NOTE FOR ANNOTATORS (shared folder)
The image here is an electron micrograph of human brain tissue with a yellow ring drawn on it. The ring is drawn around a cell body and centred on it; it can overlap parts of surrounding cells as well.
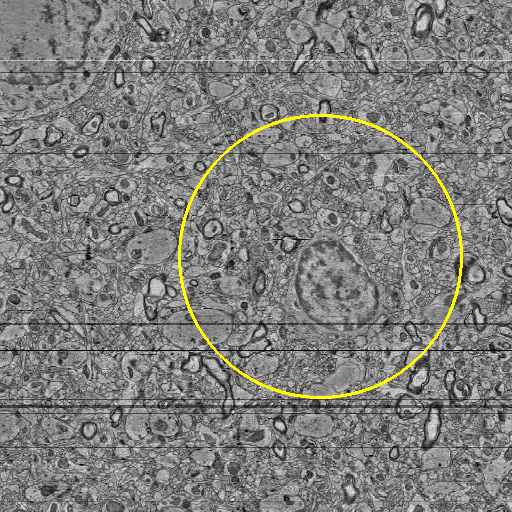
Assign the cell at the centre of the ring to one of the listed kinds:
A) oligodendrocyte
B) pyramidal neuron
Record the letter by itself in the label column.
A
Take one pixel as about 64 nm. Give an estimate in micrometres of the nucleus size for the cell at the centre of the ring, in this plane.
In this plane, about 6 micrometres in length and 5 in width.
